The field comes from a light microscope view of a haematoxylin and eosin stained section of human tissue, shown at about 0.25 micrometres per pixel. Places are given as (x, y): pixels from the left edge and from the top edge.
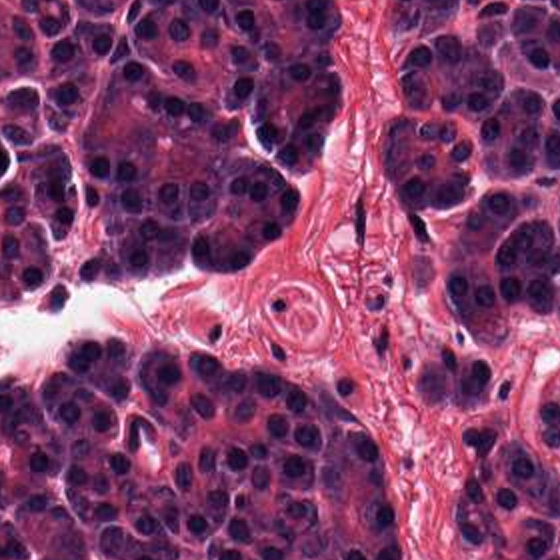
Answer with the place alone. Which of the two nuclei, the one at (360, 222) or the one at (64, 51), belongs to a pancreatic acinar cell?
(64, 51)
